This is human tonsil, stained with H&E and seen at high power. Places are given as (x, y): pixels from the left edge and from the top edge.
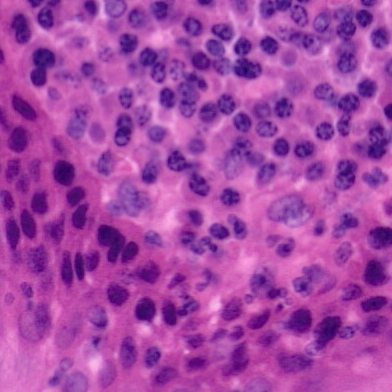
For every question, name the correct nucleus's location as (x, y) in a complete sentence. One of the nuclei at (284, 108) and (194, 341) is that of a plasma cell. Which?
The member of the pair belonging to a plasma cell is the nucleus at (284, 108).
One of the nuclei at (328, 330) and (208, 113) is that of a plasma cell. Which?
Of the two nuclei present, the one at (208, 113) is within a plasma cell.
